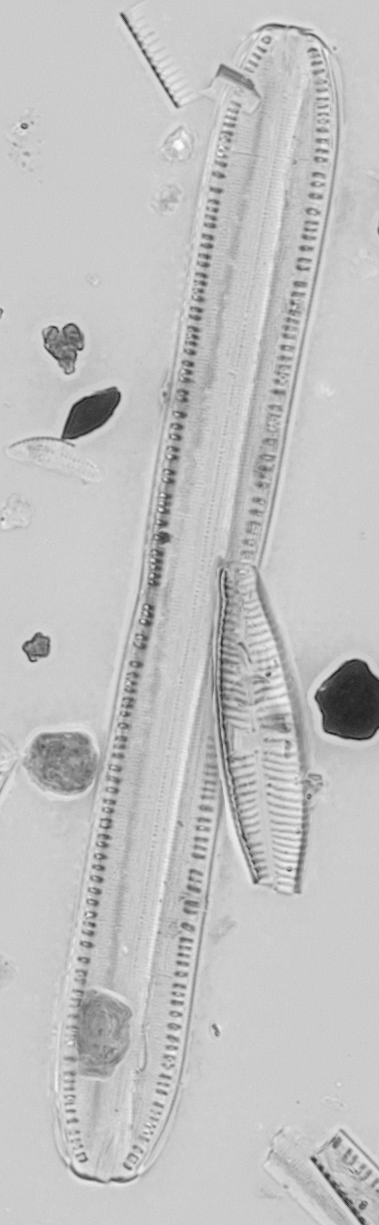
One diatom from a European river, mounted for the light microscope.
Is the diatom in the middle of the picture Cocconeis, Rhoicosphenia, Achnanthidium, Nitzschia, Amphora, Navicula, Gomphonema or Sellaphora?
It is Nitzschia.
